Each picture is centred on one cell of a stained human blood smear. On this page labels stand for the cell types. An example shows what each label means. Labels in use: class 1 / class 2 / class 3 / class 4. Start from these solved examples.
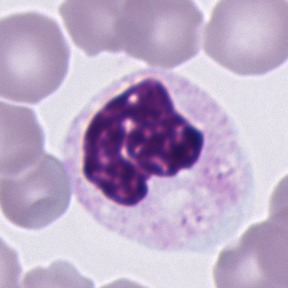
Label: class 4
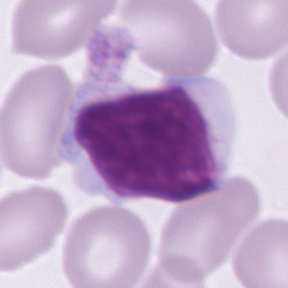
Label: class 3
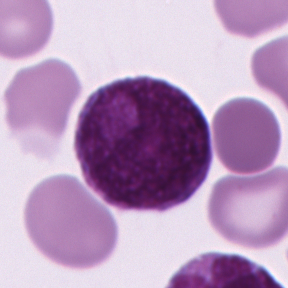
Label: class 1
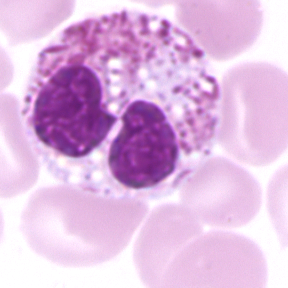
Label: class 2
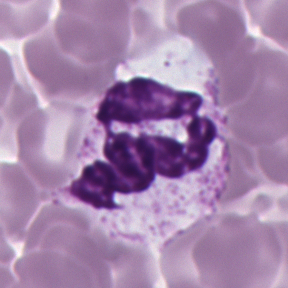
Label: class 4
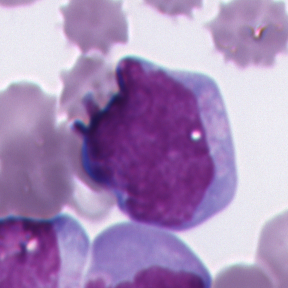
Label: class 1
